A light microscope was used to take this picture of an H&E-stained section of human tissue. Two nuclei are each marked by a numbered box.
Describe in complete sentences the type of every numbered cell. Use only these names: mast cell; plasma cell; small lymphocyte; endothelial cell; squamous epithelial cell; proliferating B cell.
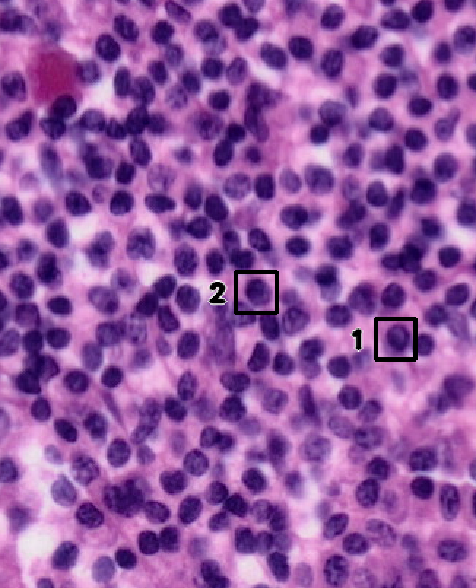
Cell 1 is a plasma cell. Cell 2 is a small lymphocyte.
